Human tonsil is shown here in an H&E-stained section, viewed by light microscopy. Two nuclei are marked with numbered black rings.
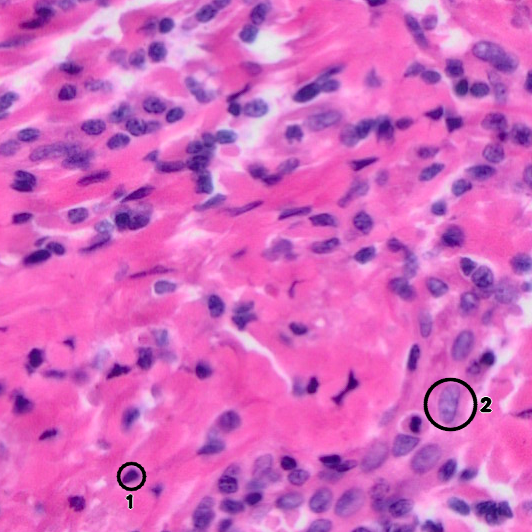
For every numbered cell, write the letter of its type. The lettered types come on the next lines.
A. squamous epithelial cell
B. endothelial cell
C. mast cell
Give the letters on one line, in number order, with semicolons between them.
C; B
